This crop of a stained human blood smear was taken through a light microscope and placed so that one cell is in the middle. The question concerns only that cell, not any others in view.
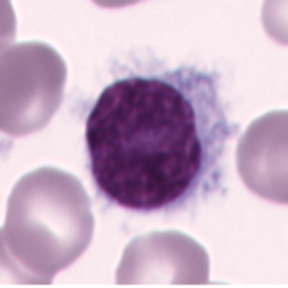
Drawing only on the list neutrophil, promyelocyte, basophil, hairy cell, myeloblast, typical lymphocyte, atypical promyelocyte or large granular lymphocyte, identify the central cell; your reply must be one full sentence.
For this crop, the cell in the middle is a hairy cell.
